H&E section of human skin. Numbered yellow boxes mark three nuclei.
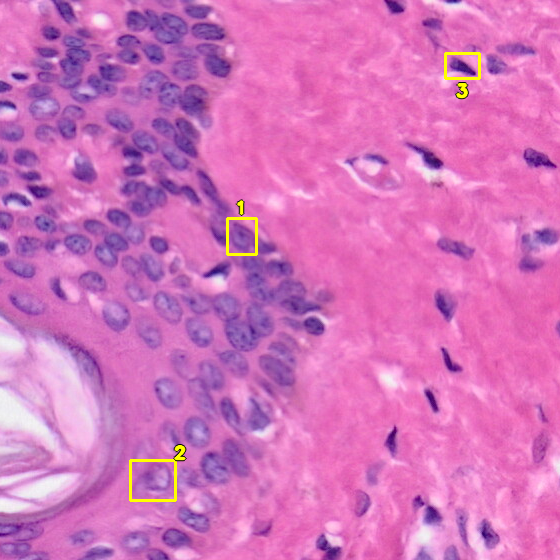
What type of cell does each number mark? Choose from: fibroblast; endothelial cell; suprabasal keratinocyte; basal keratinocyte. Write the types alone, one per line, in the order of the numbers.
basal keratinocyte
suprabasal keratinocyte
fibroblast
